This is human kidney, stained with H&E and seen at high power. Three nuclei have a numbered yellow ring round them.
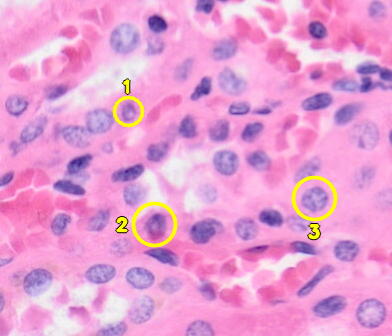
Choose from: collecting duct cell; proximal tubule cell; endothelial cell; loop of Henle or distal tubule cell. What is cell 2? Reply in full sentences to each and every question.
The cell numbered 2 has been identified as a loop of Henle or distal tubule cell.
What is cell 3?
Classified as a loop of Henle or distal tubule cell is the cell with the number 3.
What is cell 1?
The cell numbered 1 represents a collecting duct cell.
